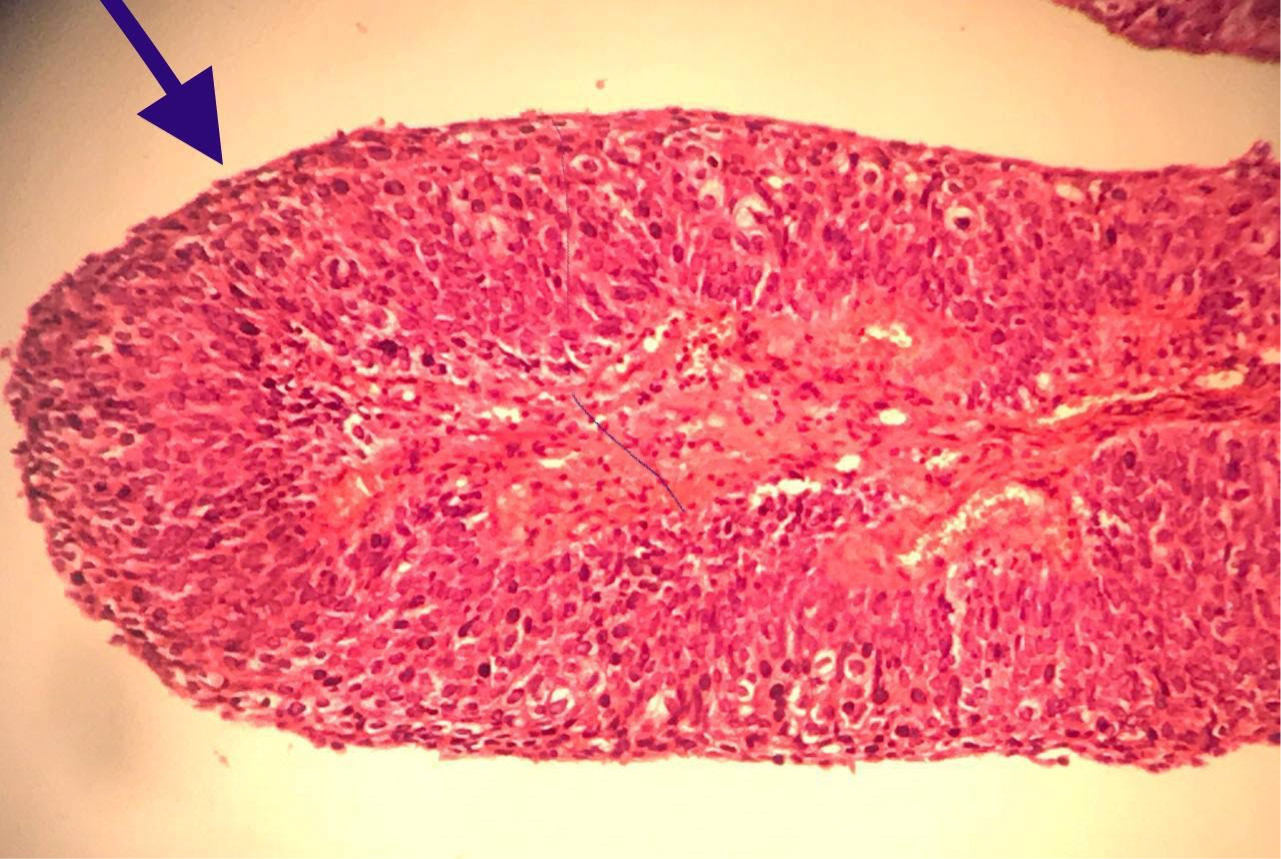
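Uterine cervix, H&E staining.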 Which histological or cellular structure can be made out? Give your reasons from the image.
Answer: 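Papillary structures. A long finger-like projection with a rounded tip fills the field. A central pink core with small vascular spaces runs along its length. The core is covered on all sides by a thick cellular layer.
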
